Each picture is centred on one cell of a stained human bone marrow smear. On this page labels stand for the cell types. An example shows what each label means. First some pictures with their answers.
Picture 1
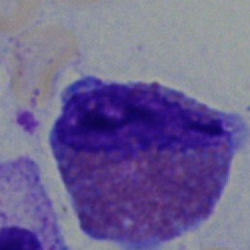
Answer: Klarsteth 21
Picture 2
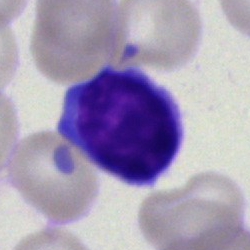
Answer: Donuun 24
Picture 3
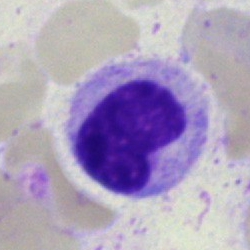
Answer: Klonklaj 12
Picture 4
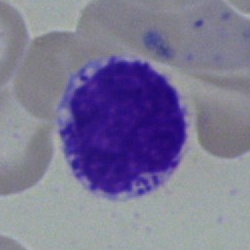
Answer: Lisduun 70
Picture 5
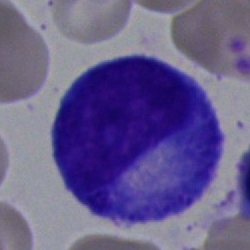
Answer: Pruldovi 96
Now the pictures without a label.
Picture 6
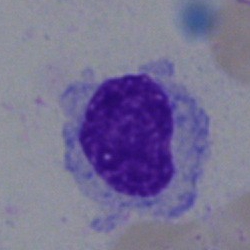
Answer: Klonklaj 12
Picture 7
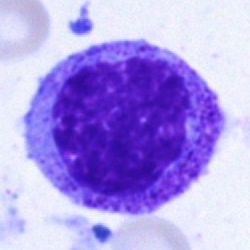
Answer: Pruldovi 96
